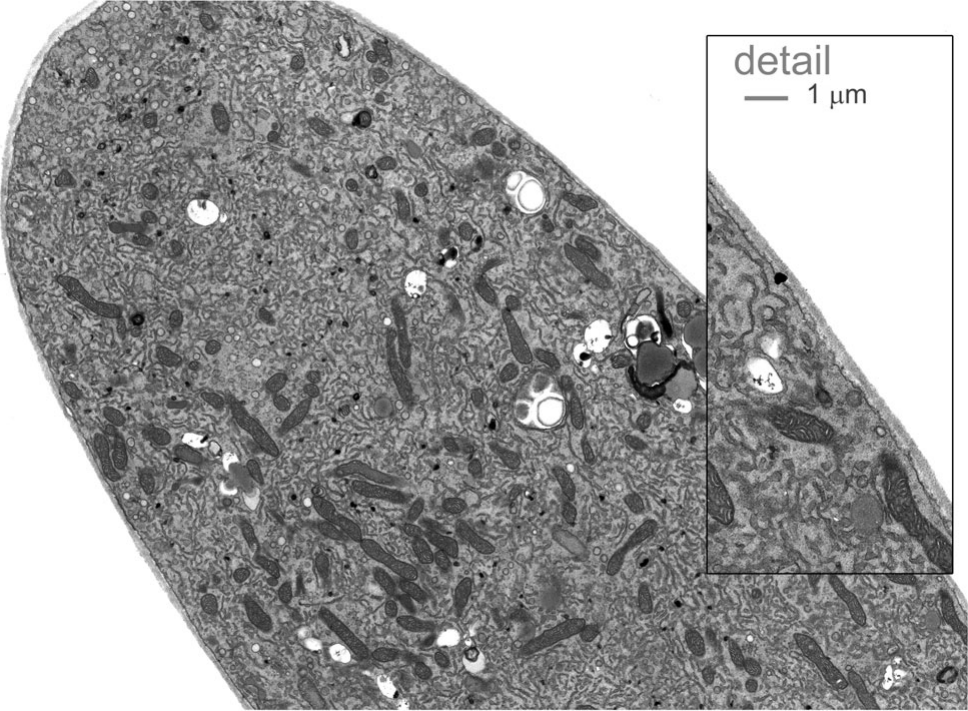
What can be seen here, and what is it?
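The cytoplasm is densely packed with elongated dark mitochondria, many of them lying roughly parallel to the long axis of the tube, and with a fine meshwork of membranous cisternae between them. Small round pale vesicles are especially numerous in the cytoplasm just beneath the dome of the tip. Scattered through the cell are a few larger clear vacuole-like bodies with dark flecks, and some dense, dark rounded bodies. The whole cell is bounded by a thin, pale tube wall, seen more clearly in the enlarged rectangle where it runs as a narrow layer along the outer edge.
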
